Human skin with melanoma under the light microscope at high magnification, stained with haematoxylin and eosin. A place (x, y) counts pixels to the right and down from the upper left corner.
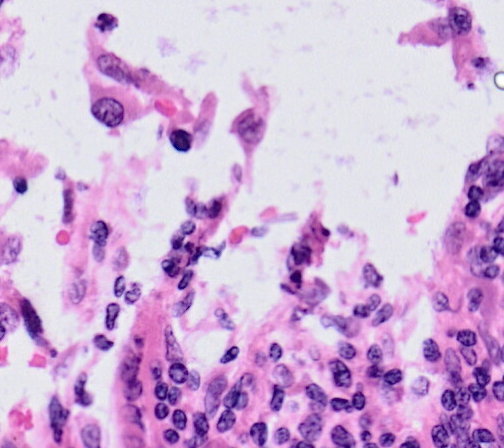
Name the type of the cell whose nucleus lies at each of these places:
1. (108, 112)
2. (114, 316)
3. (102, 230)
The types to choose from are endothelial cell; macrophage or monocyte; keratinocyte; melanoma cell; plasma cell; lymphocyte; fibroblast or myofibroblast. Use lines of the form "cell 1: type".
cell 1: melanoma cell
cell 2: lymphocyte
cell 3: lymphocyte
